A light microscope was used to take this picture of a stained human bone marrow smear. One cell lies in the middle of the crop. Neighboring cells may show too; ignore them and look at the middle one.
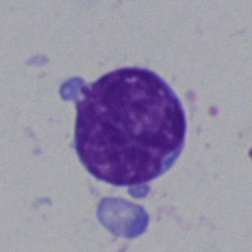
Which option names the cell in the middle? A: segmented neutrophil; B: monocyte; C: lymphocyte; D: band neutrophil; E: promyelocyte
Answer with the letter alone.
C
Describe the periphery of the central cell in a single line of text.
No smooth contour is present; the border is ragged or extended into projections.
